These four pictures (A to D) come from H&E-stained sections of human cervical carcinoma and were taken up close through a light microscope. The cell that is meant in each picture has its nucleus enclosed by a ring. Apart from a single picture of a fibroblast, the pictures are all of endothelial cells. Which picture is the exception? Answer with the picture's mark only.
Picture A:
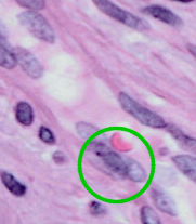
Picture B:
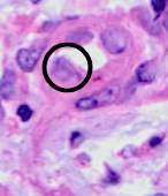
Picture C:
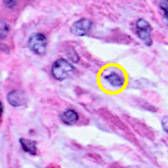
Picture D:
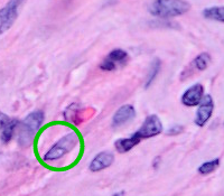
C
